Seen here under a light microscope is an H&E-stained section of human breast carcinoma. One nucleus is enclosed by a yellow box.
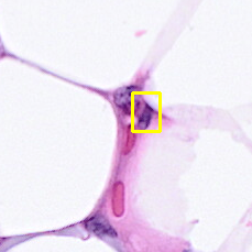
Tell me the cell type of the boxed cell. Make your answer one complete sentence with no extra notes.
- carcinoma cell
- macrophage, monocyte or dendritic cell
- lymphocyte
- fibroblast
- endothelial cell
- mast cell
It is an endothelial cell that the boxed cell represents.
